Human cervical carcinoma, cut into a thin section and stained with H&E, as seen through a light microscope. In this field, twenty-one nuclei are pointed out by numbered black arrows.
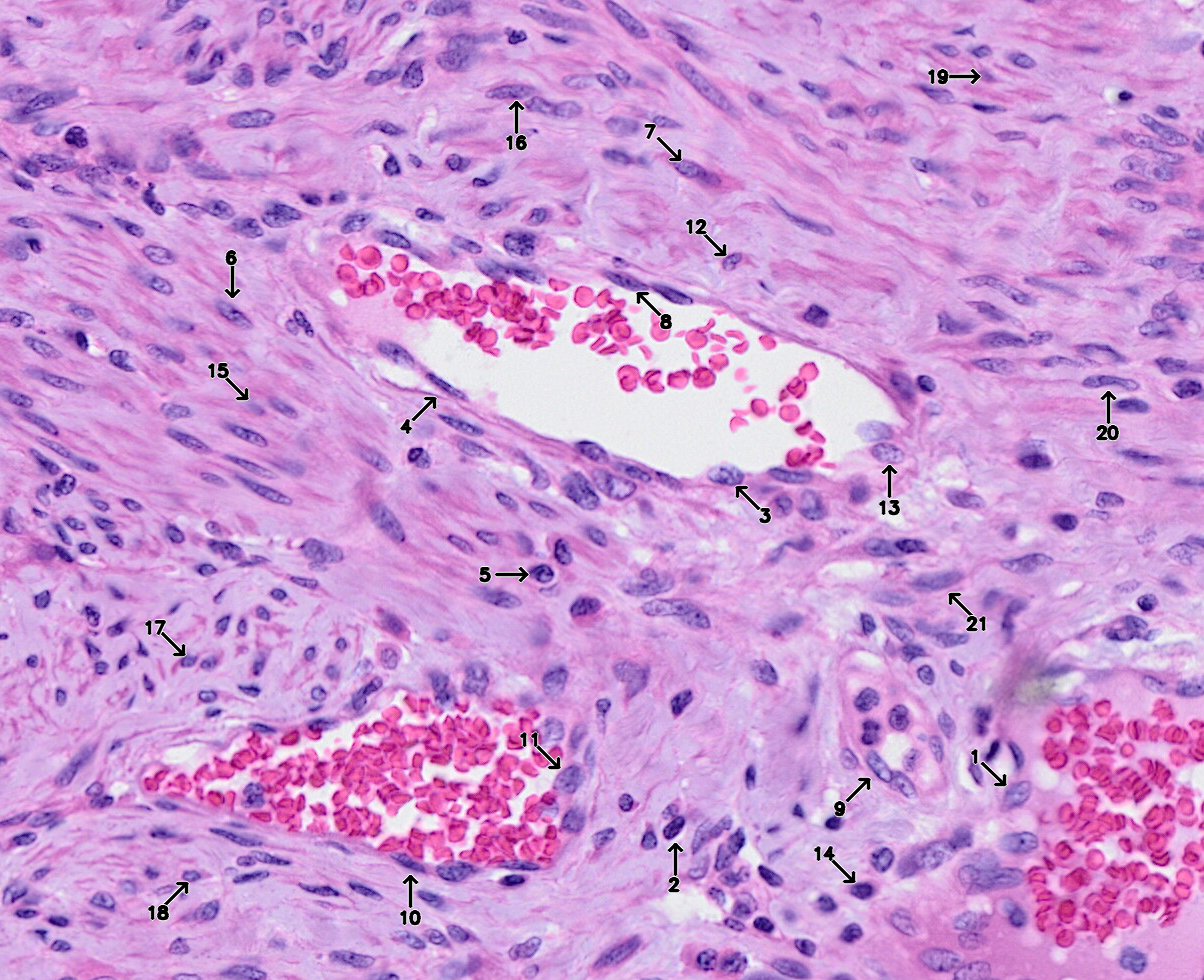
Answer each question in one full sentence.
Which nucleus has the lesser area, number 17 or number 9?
The smaller nucleus is 17, and 9 covers roughly 3 times its area.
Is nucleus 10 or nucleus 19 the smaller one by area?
It is nucleus 19; nucleus 10 has about 3 times its area.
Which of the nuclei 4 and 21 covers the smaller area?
With nucleus 21 about 3 times its size, nucleus 4 is the smaller of the two.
